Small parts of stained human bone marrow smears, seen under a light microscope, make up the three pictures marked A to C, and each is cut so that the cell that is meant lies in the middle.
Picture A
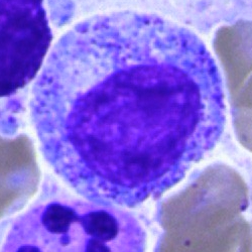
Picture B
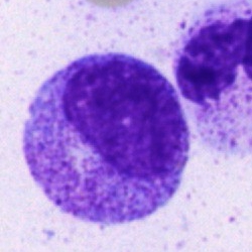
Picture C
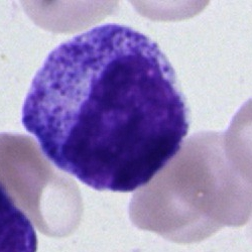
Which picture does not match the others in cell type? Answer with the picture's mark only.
A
